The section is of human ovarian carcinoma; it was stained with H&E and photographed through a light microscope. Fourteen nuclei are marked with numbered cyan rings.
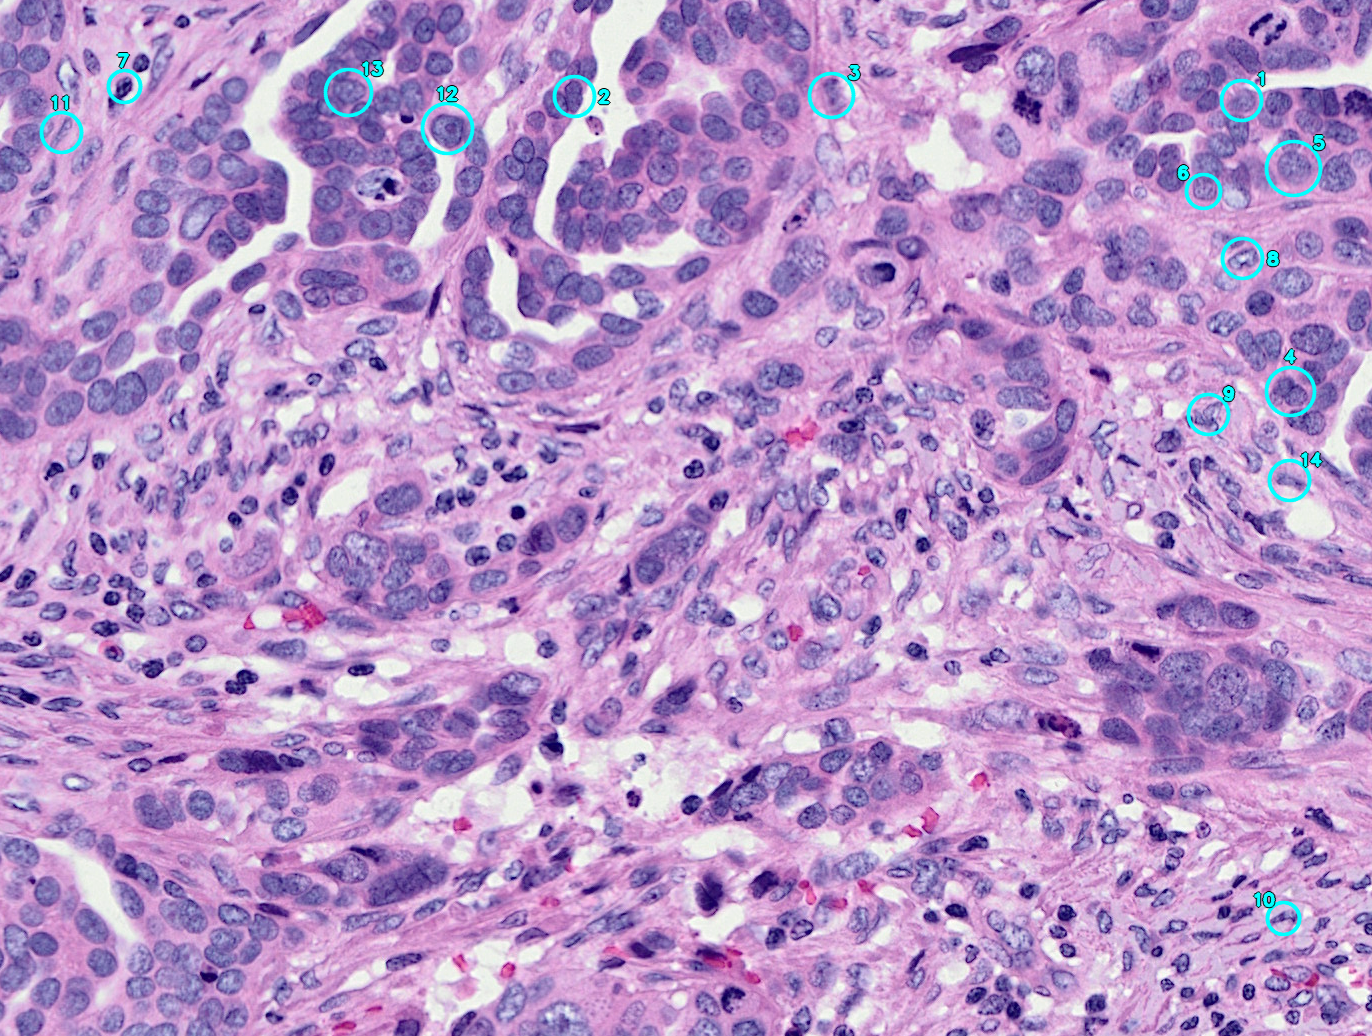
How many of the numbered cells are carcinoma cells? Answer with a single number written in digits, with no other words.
7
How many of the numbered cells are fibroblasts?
6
